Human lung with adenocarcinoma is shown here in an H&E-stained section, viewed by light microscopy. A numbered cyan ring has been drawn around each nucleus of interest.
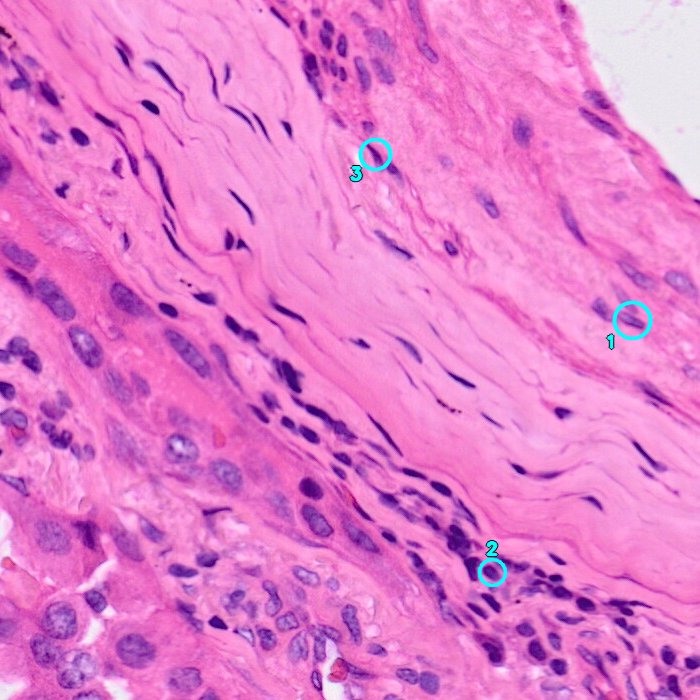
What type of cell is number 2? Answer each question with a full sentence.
The label 2 in this section denotes a lymphocyte.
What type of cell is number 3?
What the number 3 marks in this field is a smooth muscle cell or pericyte.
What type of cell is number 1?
The cell marked with number 1 is a smooth muscle cell or pericyte.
